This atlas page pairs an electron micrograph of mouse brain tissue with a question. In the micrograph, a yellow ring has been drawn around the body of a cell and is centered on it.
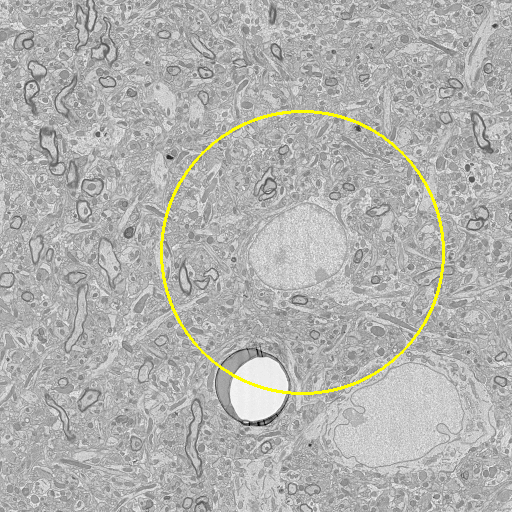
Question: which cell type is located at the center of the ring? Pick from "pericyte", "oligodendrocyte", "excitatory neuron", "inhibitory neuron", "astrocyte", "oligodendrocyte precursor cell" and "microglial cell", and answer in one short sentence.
Located at the center of the ring is an astrocyte.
